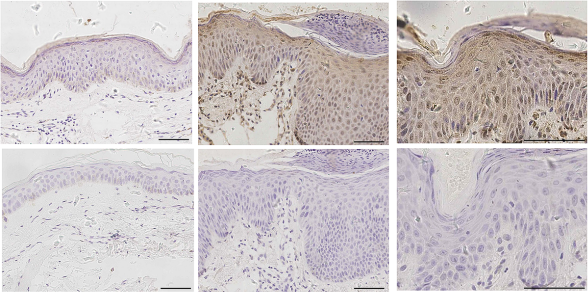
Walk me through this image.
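These are sections of skin, with a stratified squamous epidermis resting on the looser dermis with scattered fibroblast-like nuclei. In the left column the epidermis is thin, only a few cell layers deep, and its cells stay mostly pale with blue-purple nuclei. In the middle and right columns of the top row the epidermis is far thicker, with many layers of keratinocytes and downward-reaching ridges, and their cytoplasm takes up a diffuse brown stain. At the higher magnification on the right the keratinocytes appear as polygonal cells with round central nuclei, packed closely together under a flattened surface layer.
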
